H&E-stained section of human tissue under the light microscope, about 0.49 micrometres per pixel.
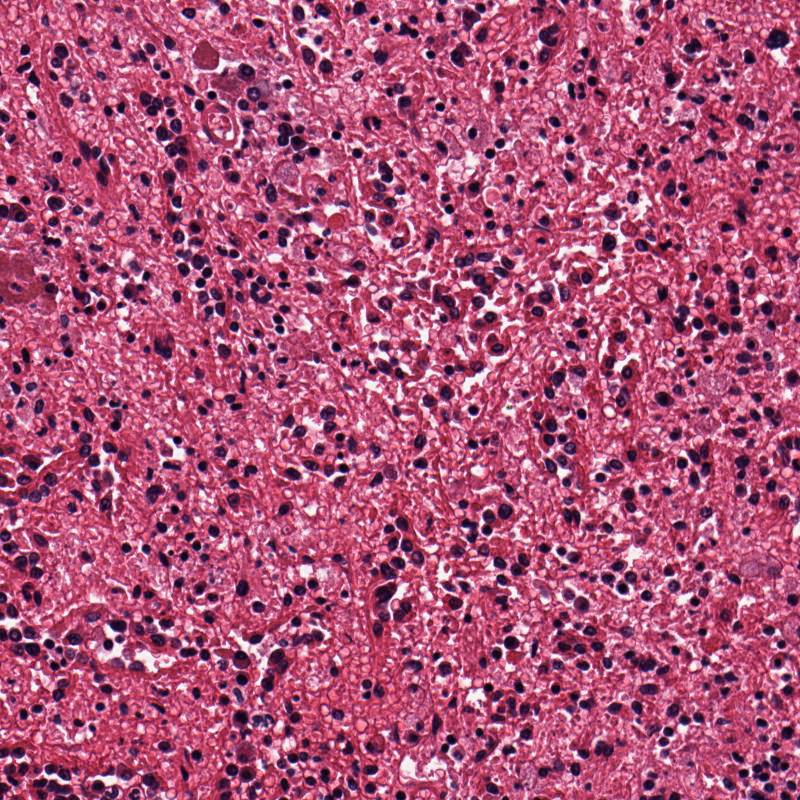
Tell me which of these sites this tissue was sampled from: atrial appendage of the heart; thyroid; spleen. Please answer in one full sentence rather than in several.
This section consists of tissue sampled from the spleen.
